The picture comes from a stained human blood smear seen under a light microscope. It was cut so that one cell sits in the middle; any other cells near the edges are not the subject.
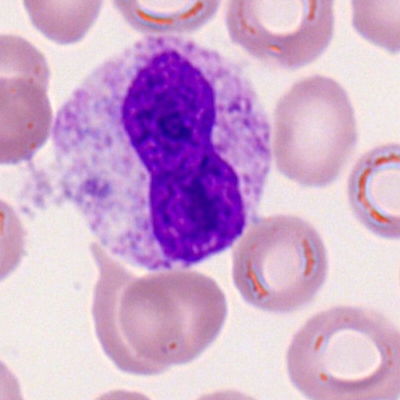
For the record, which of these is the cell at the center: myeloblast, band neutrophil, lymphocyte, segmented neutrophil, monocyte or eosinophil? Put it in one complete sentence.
The middle position in this crop is taken by a band neutrophil.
